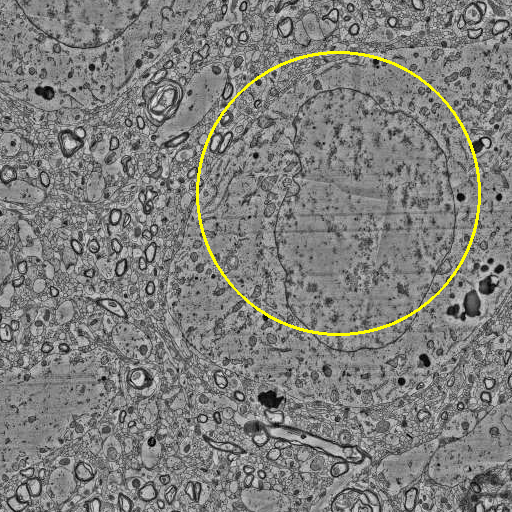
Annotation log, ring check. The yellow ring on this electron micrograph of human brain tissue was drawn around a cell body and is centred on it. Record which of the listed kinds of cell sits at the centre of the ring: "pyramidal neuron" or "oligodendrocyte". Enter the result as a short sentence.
The cell at the centre of the ring is a pyramidal neuron.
